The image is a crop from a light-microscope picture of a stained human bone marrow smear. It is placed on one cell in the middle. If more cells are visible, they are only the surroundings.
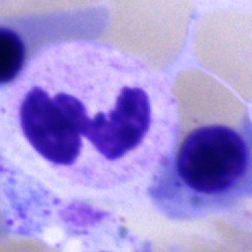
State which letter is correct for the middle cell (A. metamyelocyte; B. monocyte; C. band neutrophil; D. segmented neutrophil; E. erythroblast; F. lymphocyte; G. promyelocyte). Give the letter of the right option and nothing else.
D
